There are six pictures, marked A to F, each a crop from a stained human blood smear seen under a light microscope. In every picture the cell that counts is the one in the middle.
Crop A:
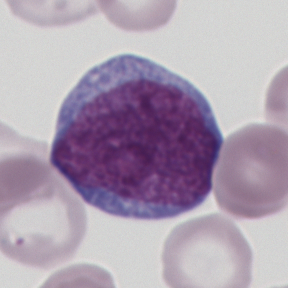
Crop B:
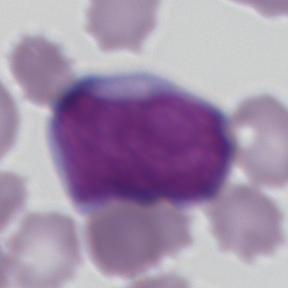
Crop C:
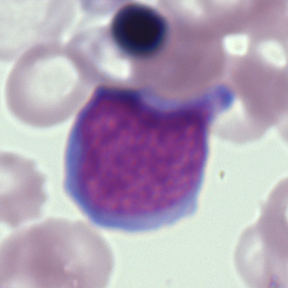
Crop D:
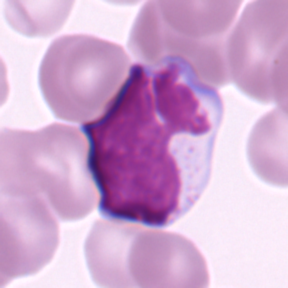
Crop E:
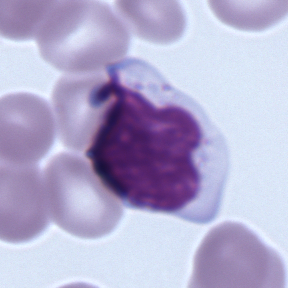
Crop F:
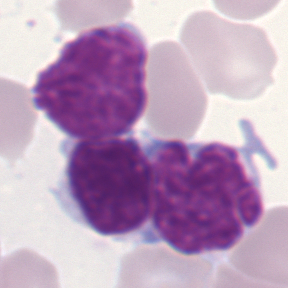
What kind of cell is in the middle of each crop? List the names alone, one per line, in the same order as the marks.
myeloblast
myeloblast
myeloblast
large granular lymphocyte
large granular lymphocyte
myeloblast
